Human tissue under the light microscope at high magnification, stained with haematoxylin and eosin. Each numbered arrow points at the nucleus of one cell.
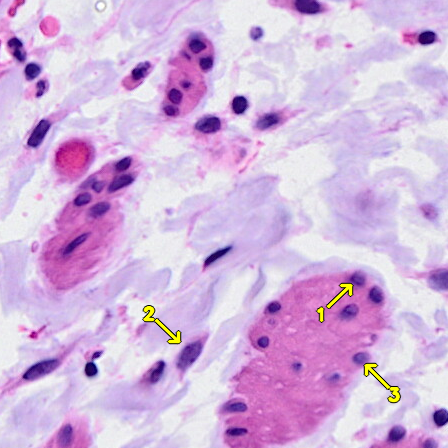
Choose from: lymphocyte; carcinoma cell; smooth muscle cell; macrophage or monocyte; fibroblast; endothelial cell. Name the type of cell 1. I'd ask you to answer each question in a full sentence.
The cell tagged with 1 in this tissue section is a smooth muscle cell.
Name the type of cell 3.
The cell numbered 3 has been identified as a smooth muscle cell.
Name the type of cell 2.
The numbered cell 2 in this field is a fibroblast.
